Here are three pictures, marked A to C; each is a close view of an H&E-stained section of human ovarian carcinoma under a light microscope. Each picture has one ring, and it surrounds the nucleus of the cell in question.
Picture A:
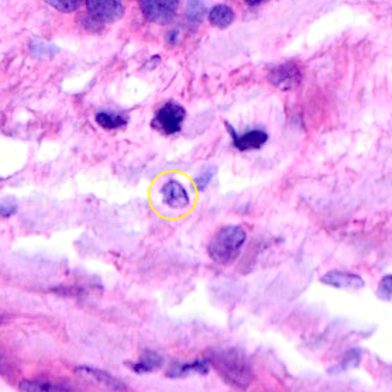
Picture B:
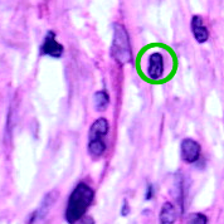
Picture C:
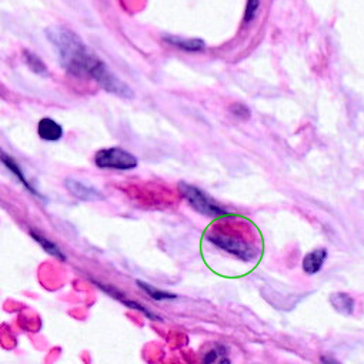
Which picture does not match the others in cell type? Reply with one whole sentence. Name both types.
The others show lymphocytes, but picture C shows an endothelial cell.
